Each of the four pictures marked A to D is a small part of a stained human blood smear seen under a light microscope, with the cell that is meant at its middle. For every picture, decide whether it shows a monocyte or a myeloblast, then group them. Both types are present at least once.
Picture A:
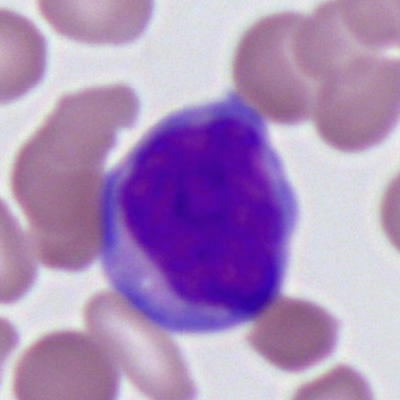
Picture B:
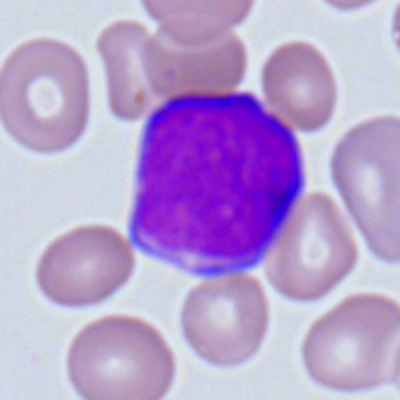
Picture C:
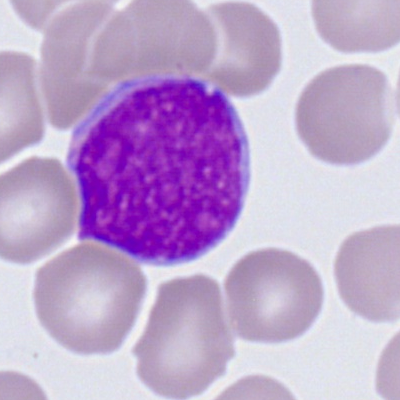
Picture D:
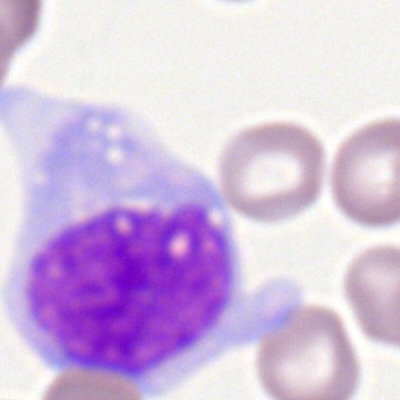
A: myeloblast
B: myeloblast
C: myeloblast
D: monocyte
